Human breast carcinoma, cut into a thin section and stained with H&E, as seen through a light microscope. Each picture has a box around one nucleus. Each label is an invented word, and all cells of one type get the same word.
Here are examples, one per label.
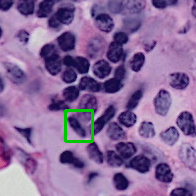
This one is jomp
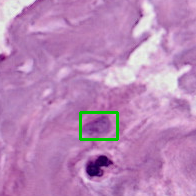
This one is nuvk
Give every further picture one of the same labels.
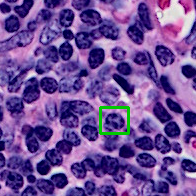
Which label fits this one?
jomp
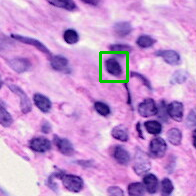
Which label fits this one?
jomp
